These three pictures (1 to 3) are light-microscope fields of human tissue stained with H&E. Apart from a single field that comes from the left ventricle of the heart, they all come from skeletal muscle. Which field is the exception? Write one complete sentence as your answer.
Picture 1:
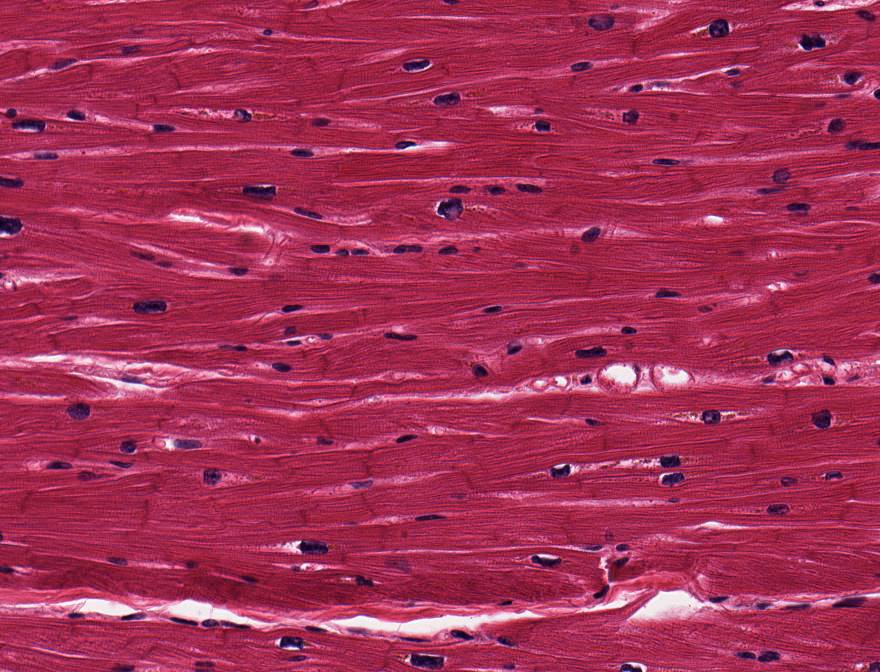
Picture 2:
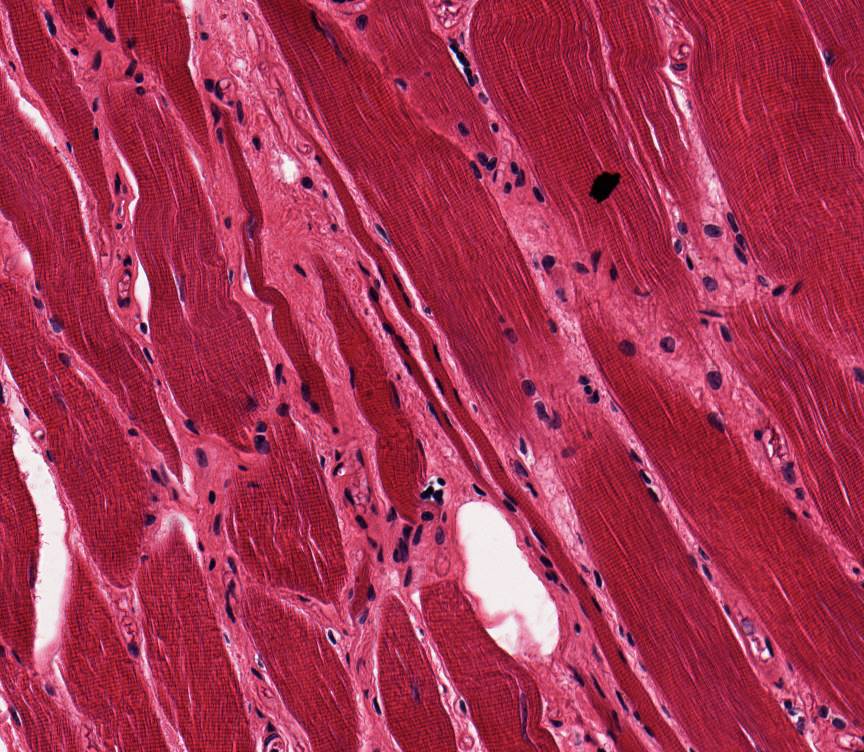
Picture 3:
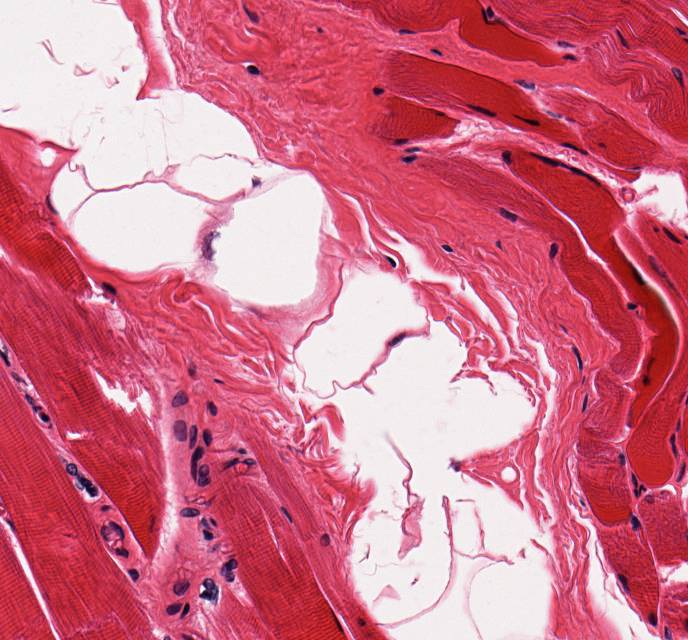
It is picture 1 that comes from the left ventricle of the heart.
